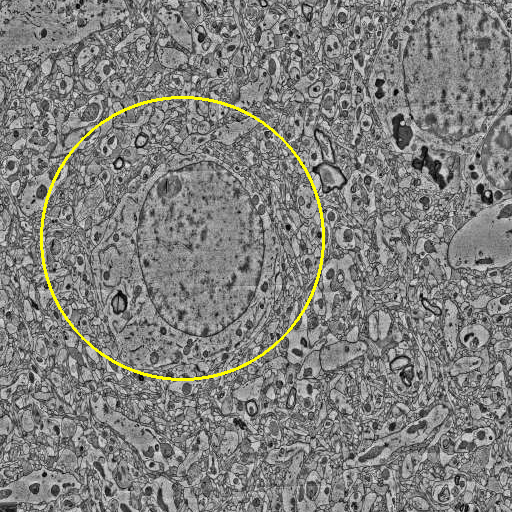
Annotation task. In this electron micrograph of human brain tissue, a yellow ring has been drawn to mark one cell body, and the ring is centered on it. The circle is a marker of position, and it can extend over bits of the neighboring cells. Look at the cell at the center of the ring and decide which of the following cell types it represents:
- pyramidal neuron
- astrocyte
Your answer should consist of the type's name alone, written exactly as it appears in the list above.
pyramidal neuron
